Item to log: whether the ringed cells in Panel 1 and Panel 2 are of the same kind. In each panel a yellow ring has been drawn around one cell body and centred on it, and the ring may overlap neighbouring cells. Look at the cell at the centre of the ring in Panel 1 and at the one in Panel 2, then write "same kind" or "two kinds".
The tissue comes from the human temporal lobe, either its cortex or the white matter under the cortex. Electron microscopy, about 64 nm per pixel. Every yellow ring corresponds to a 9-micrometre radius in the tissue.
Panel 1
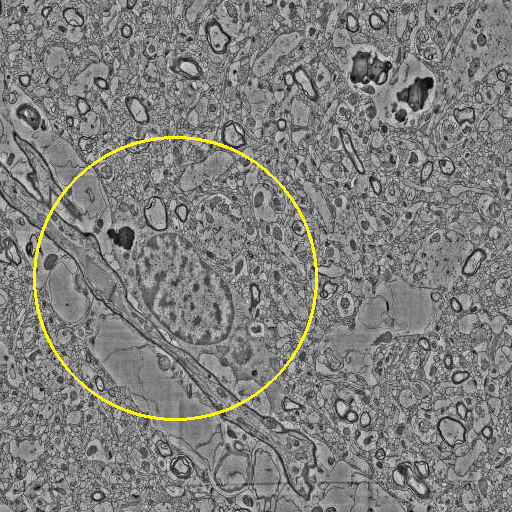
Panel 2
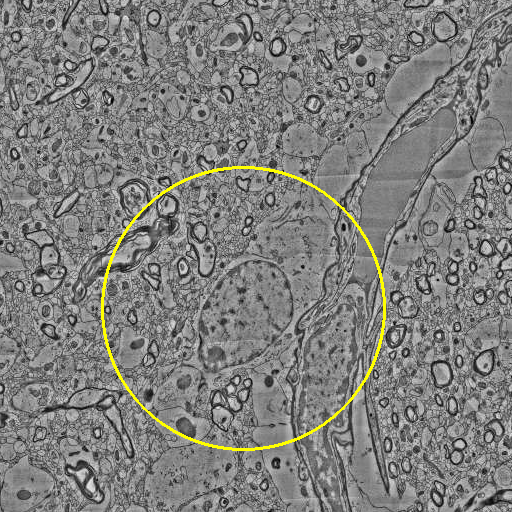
two kinds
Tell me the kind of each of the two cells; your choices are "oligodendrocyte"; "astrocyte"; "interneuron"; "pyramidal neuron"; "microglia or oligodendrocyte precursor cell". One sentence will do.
The ringed cell is an oligodendrocyte in the first picture and a microglial cell or oligodendrocyte precursor cell in the second picture.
